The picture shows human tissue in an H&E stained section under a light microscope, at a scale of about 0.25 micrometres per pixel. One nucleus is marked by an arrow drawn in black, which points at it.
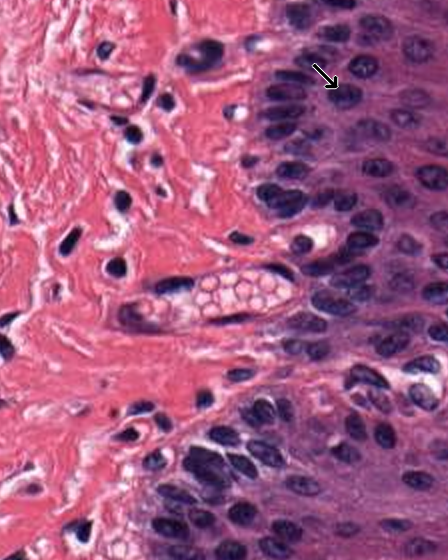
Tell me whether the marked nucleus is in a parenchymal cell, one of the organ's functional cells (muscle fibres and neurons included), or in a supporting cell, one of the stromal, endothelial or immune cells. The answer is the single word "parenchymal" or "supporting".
parenchymal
